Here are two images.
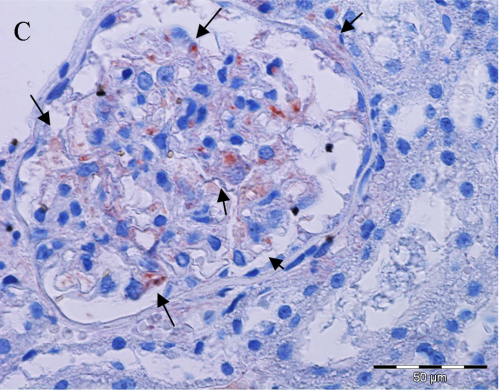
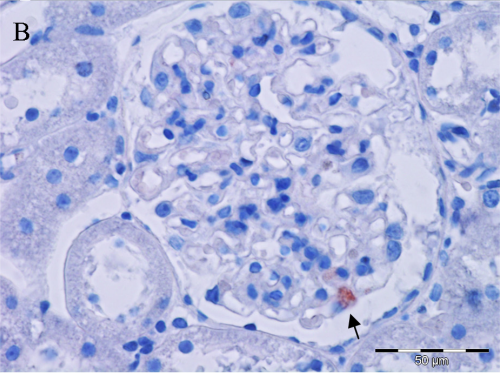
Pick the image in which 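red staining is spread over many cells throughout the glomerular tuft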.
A: the first image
